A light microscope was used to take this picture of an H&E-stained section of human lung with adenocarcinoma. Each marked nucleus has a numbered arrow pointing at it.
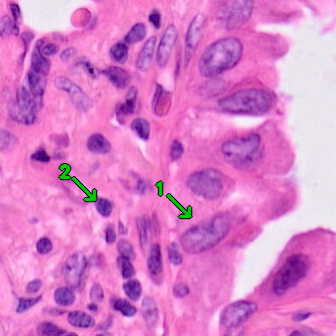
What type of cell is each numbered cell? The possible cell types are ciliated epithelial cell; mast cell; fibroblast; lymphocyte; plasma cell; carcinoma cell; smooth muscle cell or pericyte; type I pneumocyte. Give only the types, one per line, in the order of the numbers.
carcinoma cell
lymphocyte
